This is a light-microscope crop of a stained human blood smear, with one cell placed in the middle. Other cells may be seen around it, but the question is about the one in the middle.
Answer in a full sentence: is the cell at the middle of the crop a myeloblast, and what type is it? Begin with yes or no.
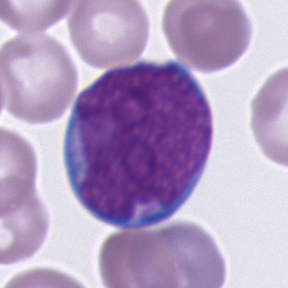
Yes, it is a myeloblast that is seen at the centre of the crop.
